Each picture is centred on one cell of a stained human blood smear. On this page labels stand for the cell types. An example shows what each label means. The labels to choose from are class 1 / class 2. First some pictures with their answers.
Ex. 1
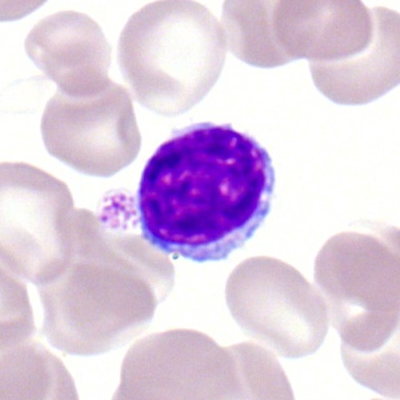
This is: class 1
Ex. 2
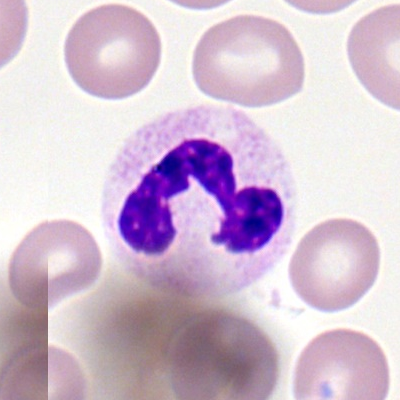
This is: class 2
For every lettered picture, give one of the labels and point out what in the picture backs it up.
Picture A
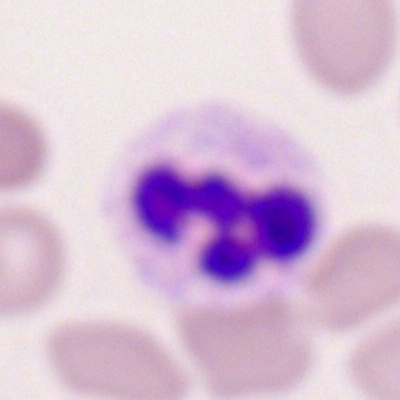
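class 2: The cytoplasm is plentiful and pale pinkish-lilac.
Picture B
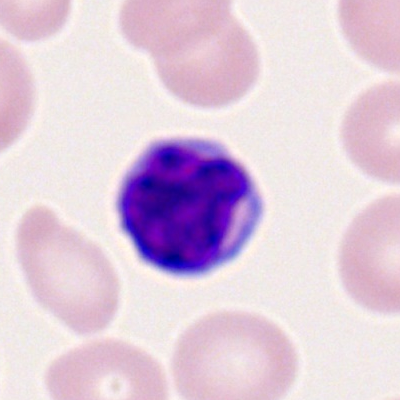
class 1: The cytoplasm forms only a thin rim around the nucleus.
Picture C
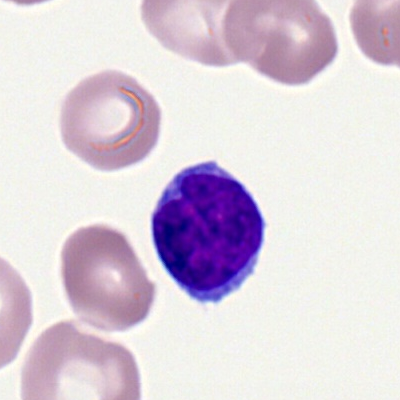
class 1: The nucleus fills almost the whole cell.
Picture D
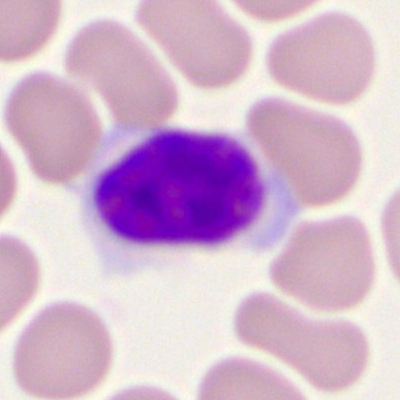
class 1: The nucleus fills most of the cell.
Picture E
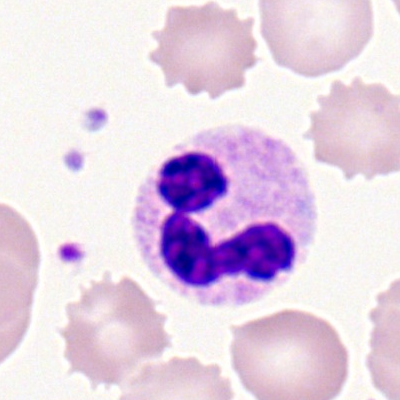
class 2: The nucleus is divided into three lobes.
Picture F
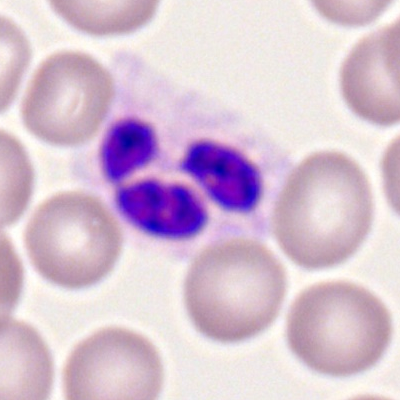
class 2: The cytoplasm is plentiful and extends well beyond the nuclear lobes.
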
